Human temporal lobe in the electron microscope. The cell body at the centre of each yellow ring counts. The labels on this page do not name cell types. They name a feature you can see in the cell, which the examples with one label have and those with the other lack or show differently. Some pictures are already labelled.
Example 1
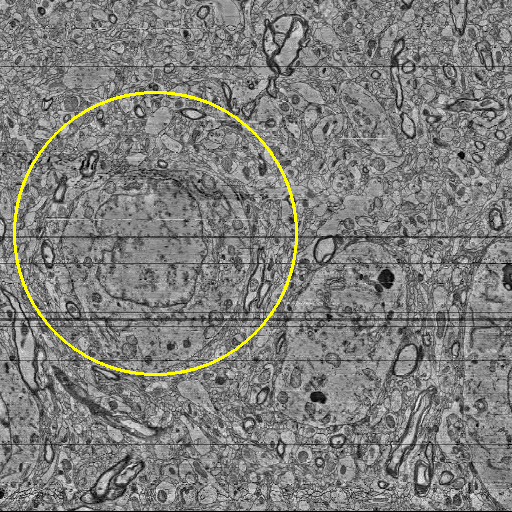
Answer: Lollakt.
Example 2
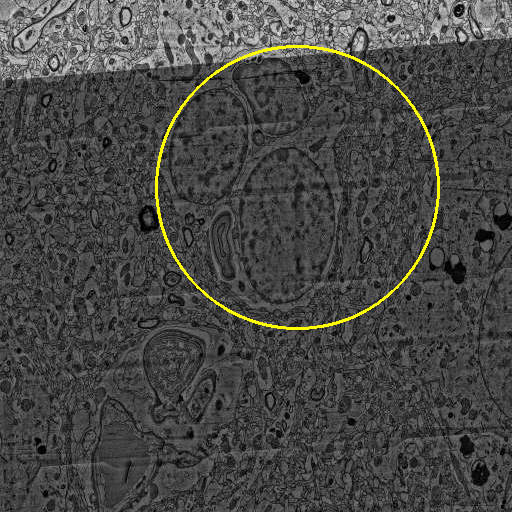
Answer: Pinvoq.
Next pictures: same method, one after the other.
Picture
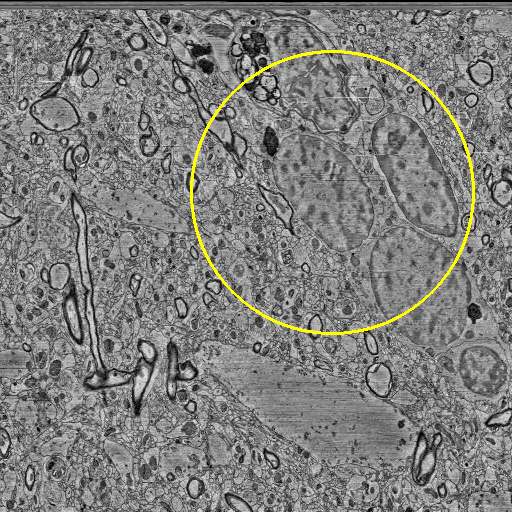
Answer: Pinvoq.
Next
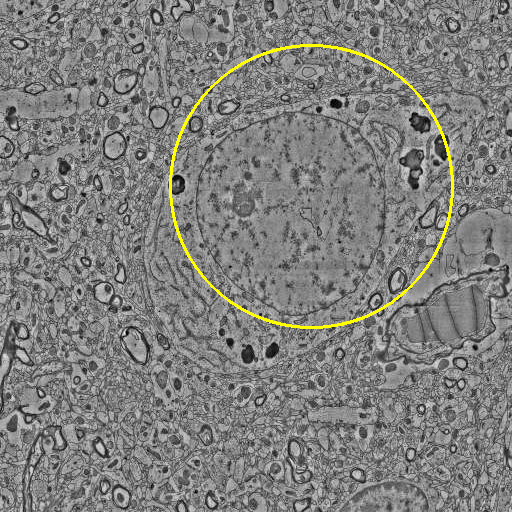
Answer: Lollakt.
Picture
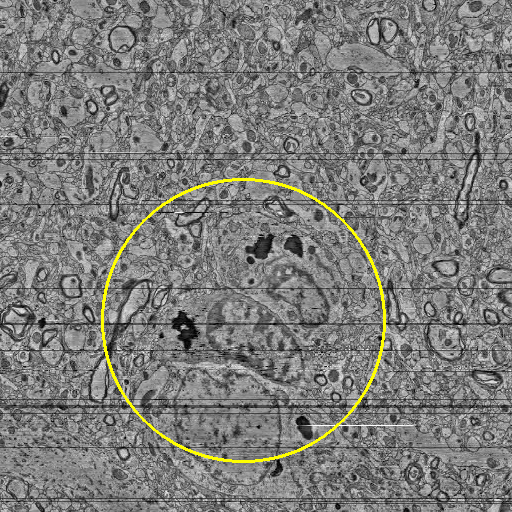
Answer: Pinvoq.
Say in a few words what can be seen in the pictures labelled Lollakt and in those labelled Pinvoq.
In Lollakt: round or nearly round nuclei. In Pinvoq: clearly elongated nuclei.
